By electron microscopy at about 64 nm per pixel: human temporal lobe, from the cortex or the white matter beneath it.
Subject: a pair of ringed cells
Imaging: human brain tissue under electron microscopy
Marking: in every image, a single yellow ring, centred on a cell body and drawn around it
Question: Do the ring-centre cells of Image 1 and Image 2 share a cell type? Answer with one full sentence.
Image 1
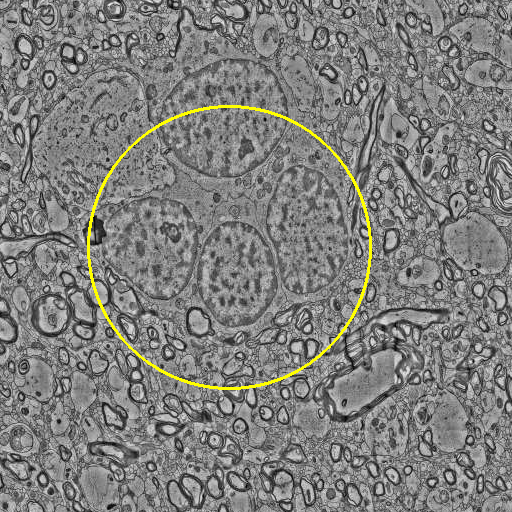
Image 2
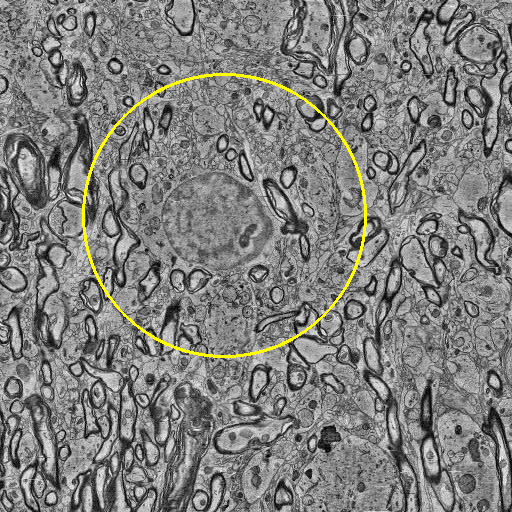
Yes, at each ring's centre in the images sits a cell of one common type.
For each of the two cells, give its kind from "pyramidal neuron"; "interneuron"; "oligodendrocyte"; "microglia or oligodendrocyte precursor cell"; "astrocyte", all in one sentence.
The ring centre holds an oligodendrocyte in each of the two pictures.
